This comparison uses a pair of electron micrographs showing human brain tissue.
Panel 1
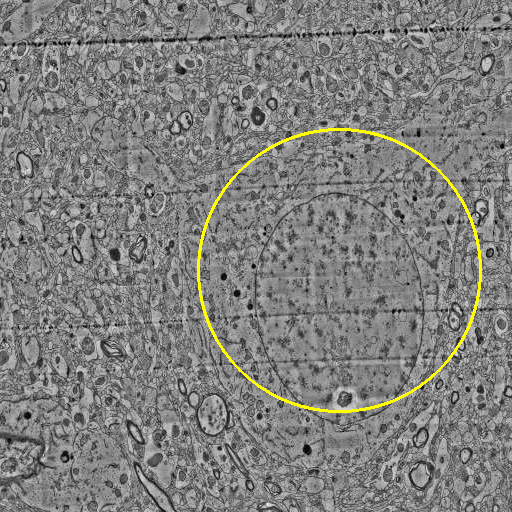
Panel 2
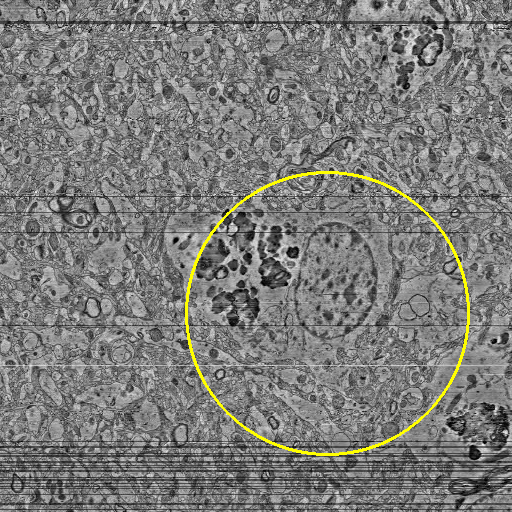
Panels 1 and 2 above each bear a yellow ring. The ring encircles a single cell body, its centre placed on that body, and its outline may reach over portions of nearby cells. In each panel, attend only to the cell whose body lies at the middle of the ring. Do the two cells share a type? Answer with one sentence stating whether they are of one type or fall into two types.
In Panel 1 and Panel 2, the cells at the centres of the rings fall into two types.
